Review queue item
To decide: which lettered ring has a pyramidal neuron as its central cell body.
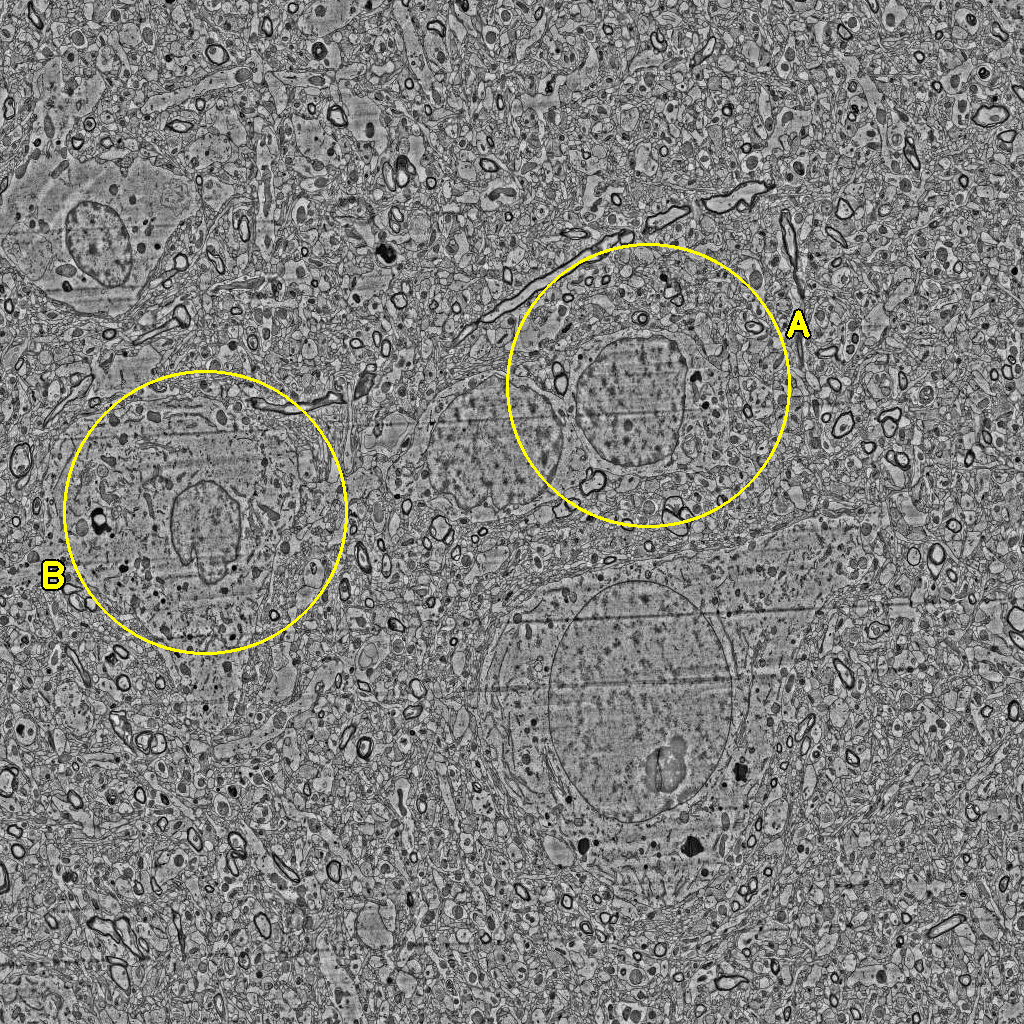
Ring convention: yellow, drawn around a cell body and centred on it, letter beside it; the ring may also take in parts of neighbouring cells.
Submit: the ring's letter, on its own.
B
